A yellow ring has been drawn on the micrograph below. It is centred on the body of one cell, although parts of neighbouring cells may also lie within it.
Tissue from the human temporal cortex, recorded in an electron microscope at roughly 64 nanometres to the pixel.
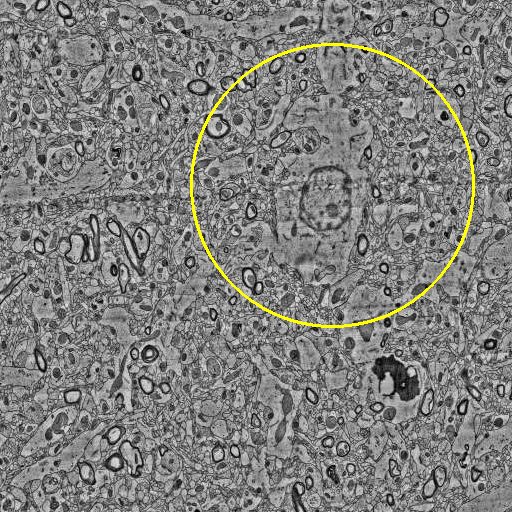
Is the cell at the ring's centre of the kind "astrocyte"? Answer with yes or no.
yes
